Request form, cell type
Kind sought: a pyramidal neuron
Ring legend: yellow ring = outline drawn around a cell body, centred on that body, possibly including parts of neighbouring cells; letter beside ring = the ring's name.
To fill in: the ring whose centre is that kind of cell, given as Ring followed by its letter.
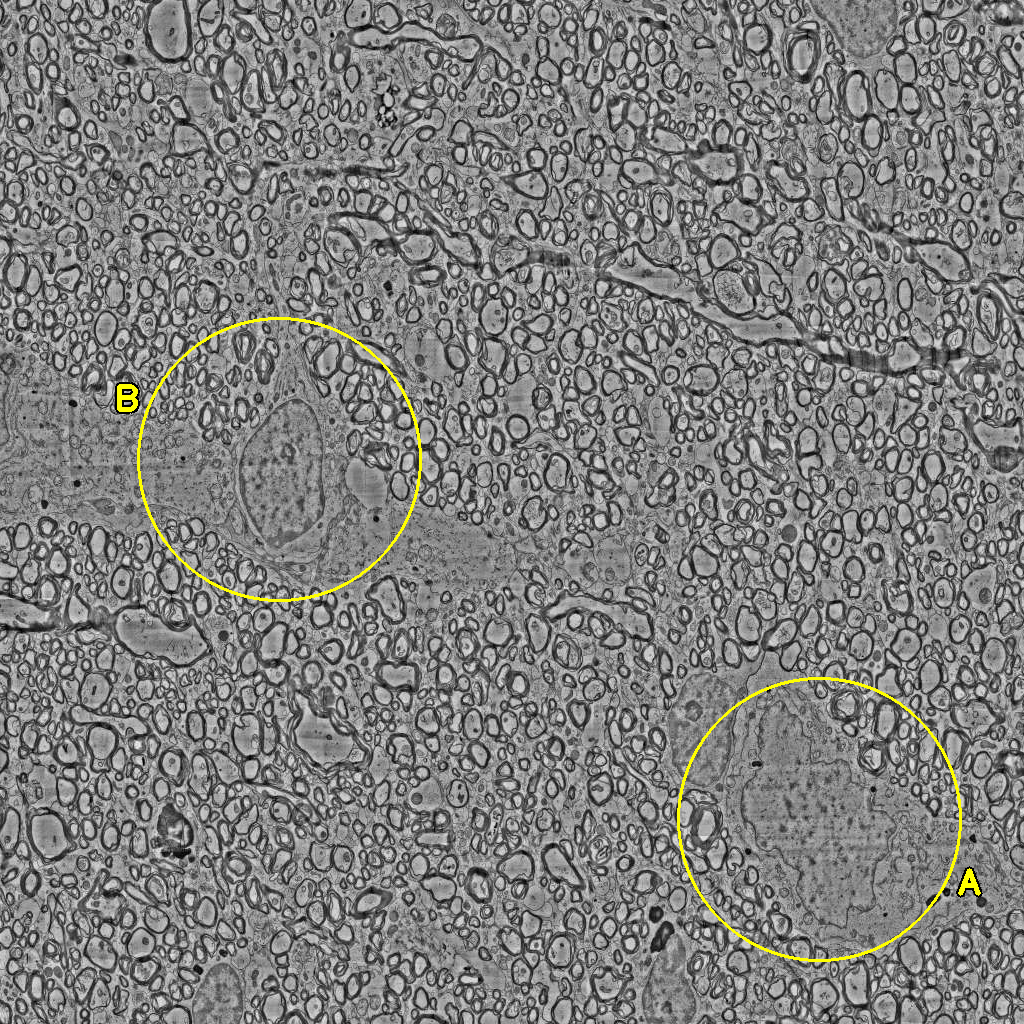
Ring A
